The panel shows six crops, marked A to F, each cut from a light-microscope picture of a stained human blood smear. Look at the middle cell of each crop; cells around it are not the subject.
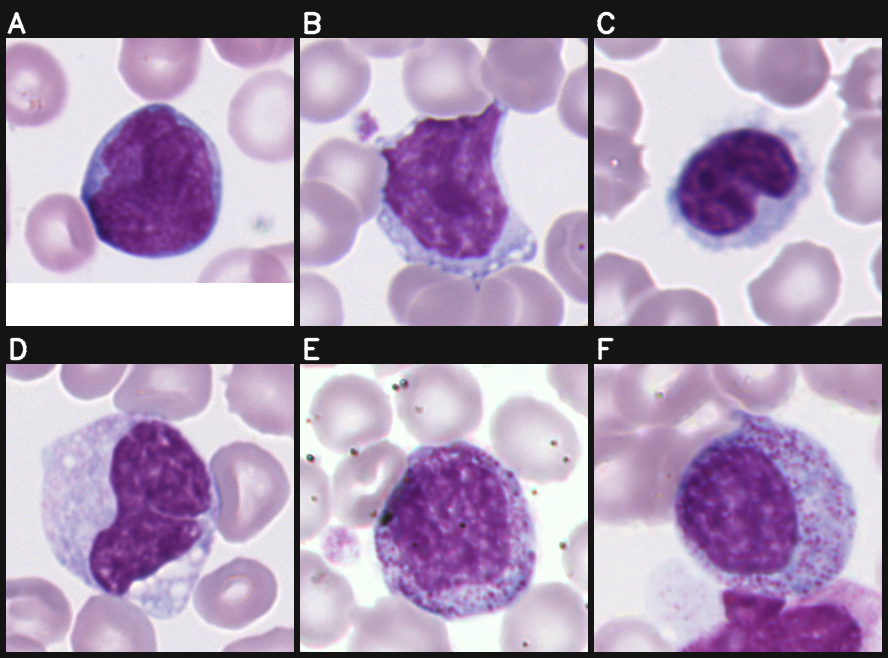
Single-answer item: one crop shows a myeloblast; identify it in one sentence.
The sole crop showing a myeloblast is crop A.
